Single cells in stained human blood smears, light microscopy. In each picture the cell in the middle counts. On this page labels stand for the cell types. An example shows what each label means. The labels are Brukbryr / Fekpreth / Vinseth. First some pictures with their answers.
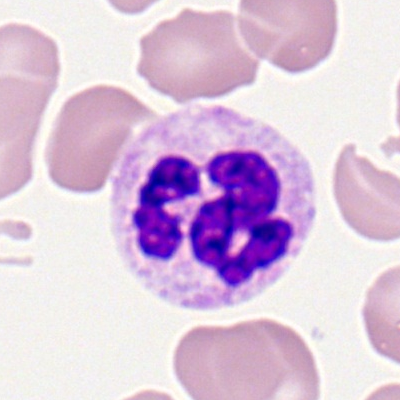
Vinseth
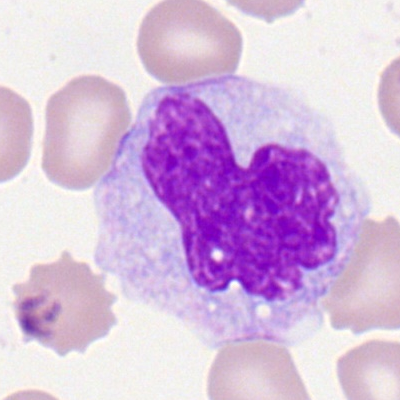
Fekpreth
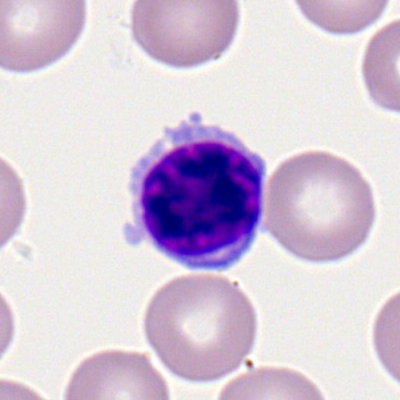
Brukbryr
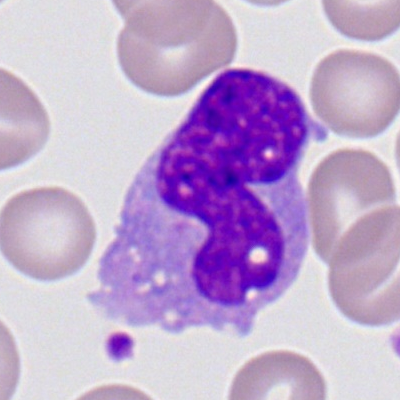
Fekpreth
